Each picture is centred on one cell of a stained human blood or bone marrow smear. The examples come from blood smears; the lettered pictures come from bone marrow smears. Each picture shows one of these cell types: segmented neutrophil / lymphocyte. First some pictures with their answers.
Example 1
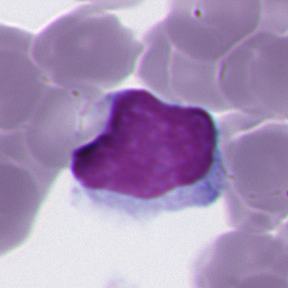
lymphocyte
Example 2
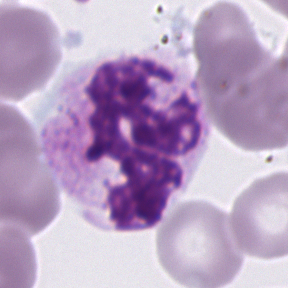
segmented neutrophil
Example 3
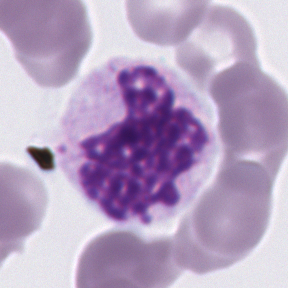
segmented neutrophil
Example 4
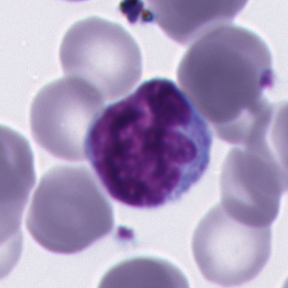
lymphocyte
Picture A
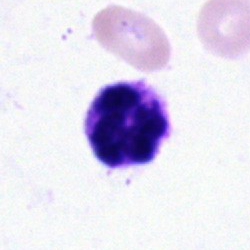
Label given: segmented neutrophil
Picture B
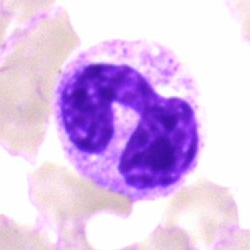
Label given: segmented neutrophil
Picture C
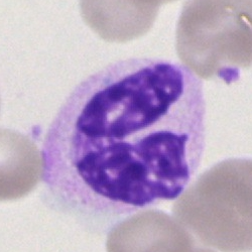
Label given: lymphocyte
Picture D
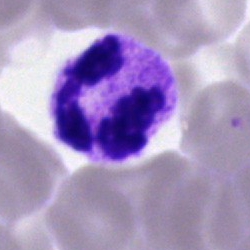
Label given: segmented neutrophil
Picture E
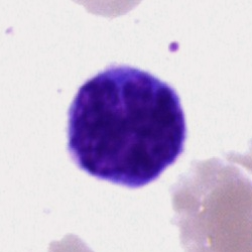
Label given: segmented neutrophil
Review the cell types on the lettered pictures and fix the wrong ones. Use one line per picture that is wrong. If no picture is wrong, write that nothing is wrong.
C: segmented neutrophil, not lymphocyte
E: lymphocyte, not segmented neutrophil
